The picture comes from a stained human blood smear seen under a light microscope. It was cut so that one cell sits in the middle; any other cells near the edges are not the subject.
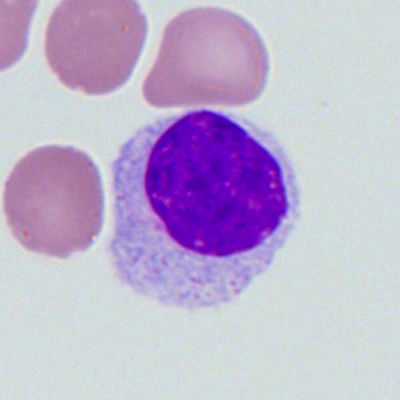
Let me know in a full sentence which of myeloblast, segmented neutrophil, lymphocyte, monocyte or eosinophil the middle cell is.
Here the centrally located cell is a lymphocyte.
